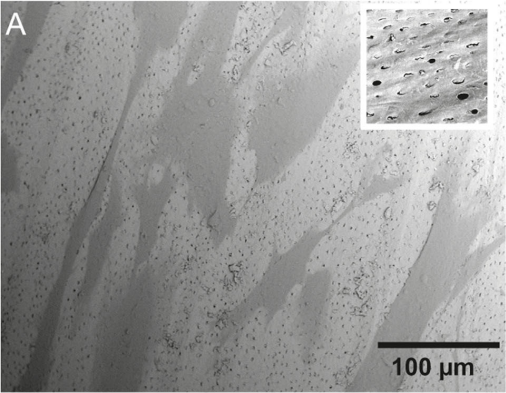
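Flattened cells spread as smooth grey sheets over a hard substrate whose surface is riddled with small round openings of dentinal tubules. The cell sheets have irregular, elongated outlines and run mostly diagonally across the field, leaving patches of the pitted substrate uncovered between them. Where the cells lie, the tubule openings are hidden or only faintly visible beneath them. The inset shows the bare substrate at higher magnification, with oval tubule openings scattered across its surface.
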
